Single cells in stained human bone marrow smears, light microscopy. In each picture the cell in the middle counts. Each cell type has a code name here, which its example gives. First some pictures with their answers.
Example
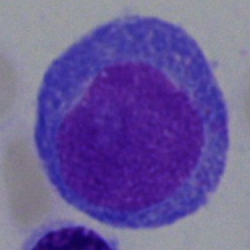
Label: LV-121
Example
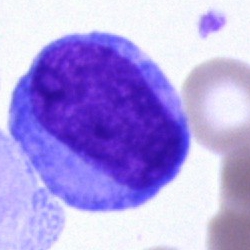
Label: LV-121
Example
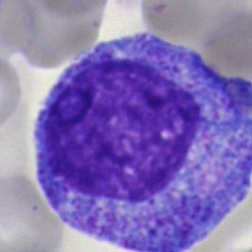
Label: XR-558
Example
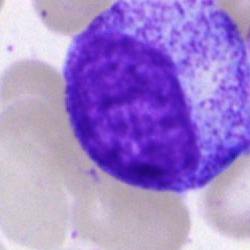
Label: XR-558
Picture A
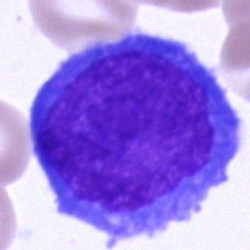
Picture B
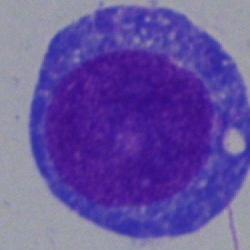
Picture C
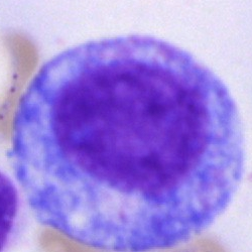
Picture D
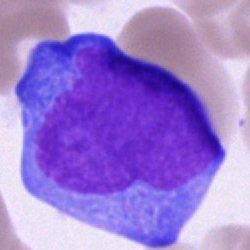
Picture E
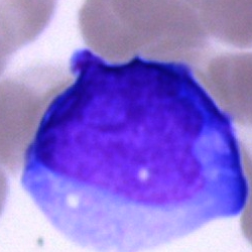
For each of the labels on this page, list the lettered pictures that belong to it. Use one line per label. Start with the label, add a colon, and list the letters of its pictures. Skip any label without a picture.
LV-121: A, B, D, E
XR-558: C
